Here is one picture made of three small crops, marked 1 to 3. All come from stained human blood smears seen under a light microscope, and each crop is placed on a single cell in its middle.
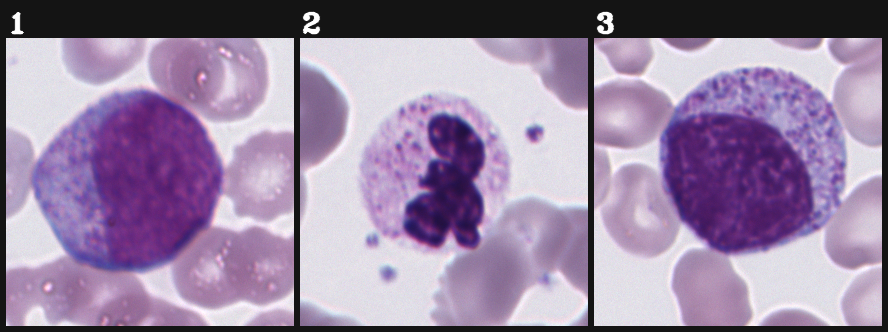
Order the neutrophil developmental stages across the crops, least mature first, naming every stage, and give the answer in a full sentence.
Starting from the least mature, the sequence proceeds crop 1 (a promyelocyte), crop 3 (a myelocyte) and crop 2 (a segmented neutrophil).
